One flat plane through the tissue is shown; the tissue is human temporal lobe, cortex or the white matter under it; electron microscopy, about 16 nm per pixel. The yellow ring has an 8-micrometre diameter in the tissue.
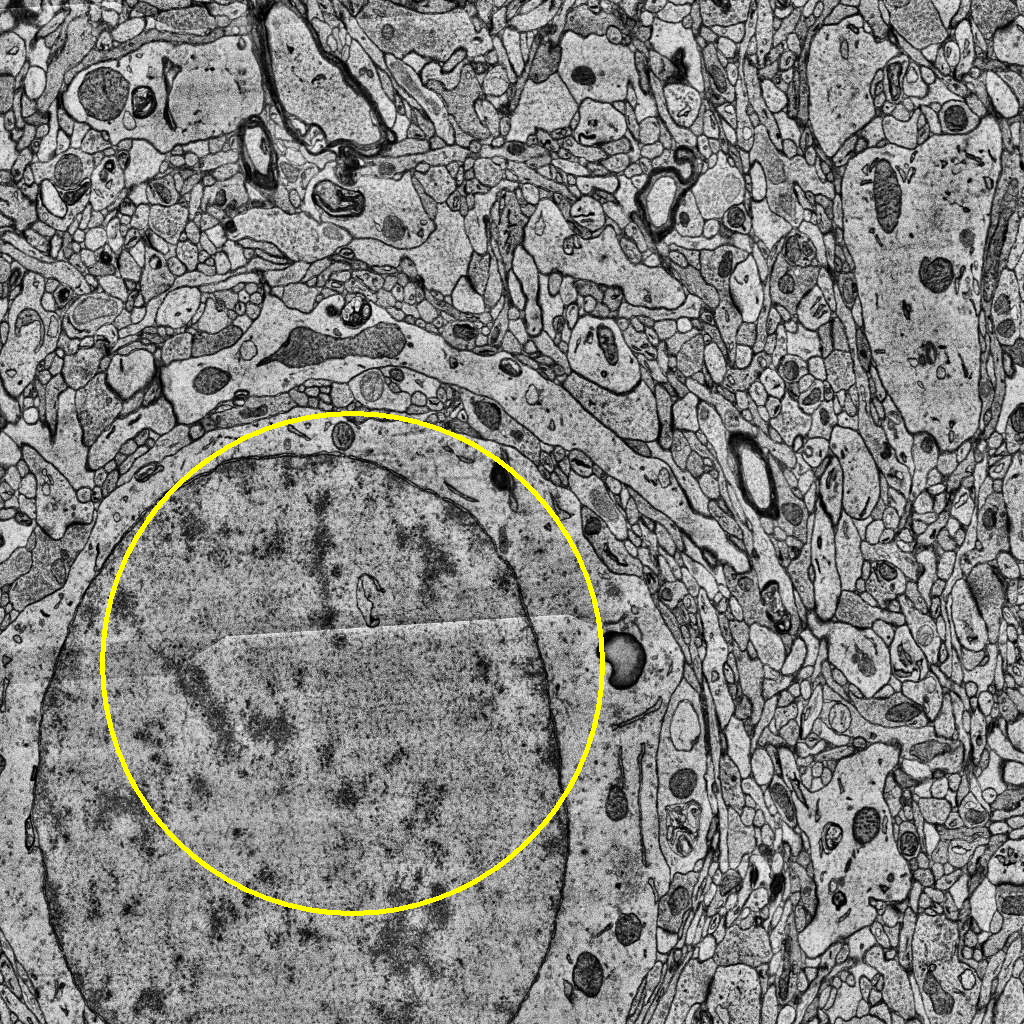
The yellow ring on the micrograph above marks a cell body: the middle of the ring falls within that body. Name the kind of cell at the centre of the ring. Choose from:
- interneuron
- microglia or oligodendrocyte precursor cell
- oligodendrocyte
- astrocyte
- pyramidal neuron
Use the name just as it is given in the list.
pyramidal neuron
